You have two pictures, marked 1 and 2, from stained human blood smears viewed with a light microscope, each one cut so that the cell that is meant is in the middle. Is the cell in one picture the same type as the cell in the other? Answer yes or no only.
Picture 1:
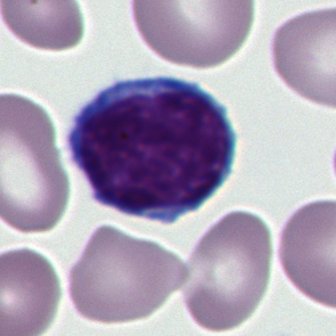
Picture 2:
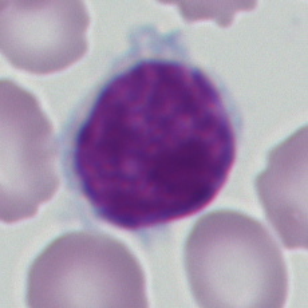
no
